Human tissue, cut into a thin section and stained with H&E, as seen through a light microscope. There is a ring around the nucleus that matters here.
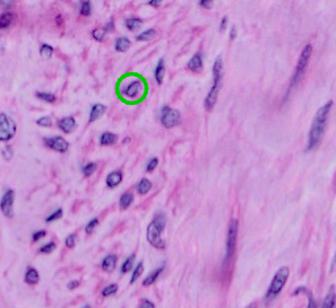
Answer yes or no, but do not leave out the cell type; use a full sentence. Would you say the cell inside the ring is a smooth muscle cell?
Yes, a smooth muscle cell is what the cell inside the ring represents in this tissue.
